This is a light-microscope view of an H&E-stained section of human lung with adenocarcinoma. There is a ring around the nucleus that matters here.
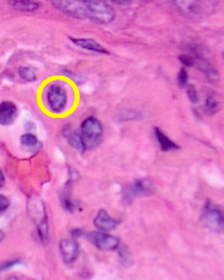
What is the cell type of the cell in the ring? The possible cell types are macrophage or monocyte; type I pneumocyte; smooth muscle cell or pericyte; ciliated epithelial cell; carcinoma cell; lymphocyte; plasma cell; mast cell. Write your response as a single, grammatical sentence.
Recorded by type, the cell in the ring is a mast cell.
